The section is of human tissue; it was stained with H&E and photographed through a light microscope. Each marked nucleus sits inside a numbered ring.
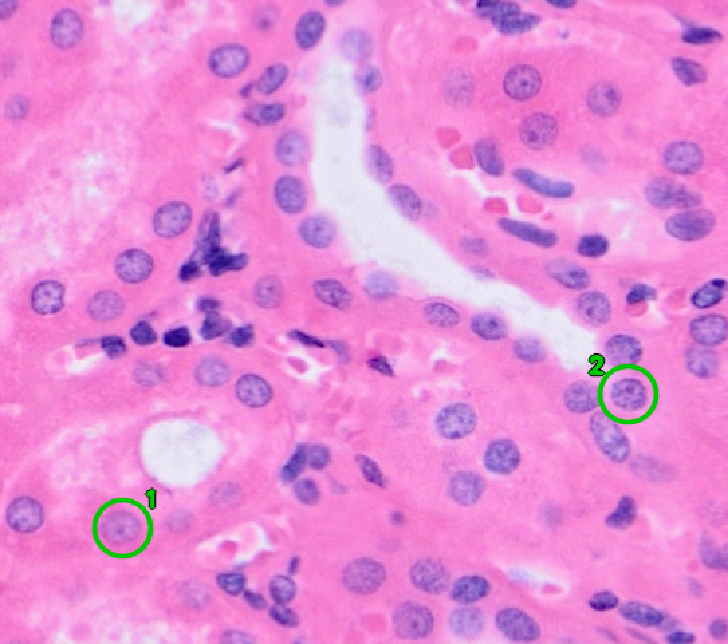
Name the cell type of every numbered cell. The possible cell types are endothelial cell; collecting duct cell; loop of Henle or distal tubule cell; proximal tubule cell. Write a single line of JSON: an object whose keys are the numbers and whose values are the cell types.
{"1": "proximal tubule cell", "2": "collecting duct cell"}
